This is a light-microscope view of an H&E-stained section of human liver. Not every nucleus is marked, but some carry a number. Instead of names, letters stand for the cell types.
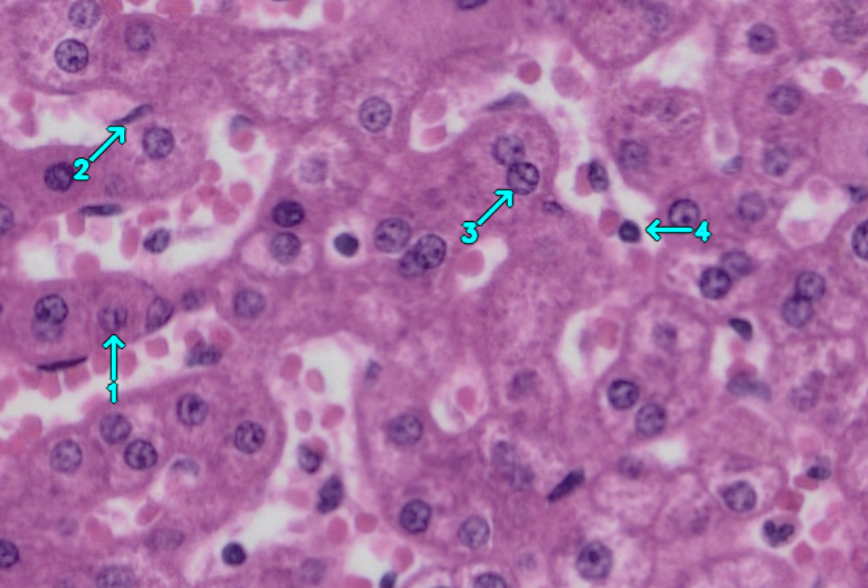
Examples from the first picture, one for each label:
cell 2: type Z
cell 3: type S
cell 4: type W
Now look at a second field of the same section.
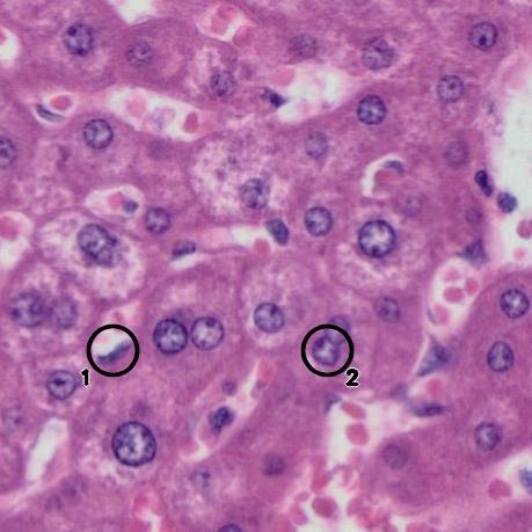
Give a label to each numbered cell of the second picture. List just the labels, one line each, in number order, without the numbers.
type Z
type S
